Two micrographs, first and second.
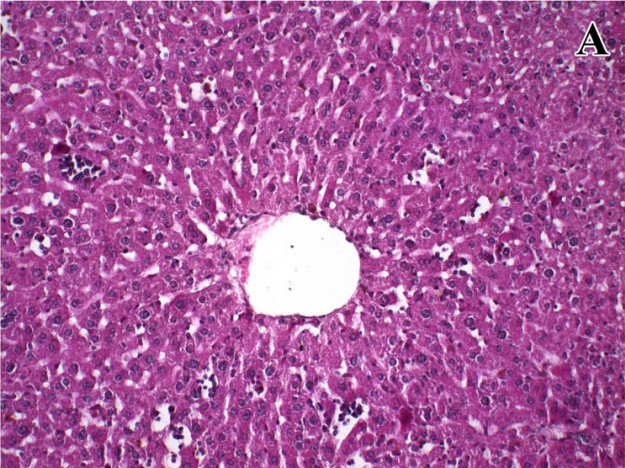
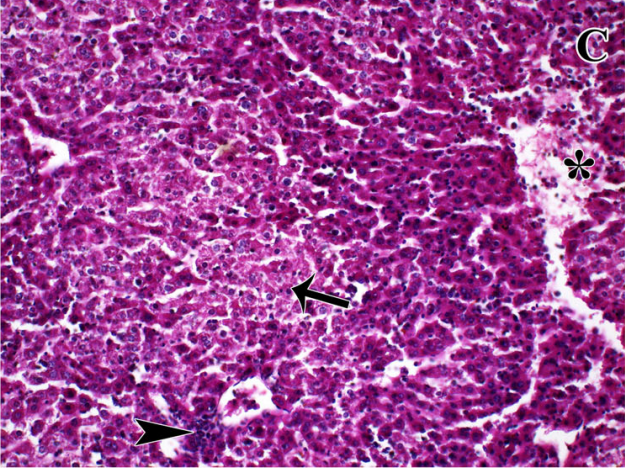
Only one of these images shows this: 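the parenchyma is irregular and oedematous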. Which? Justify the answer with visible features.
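The second image. Second image: cords are disordered, with pale loose areas and irregular clefts. First image: cords radiate evenly from a central vessel with regular narrow spaces between them.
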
